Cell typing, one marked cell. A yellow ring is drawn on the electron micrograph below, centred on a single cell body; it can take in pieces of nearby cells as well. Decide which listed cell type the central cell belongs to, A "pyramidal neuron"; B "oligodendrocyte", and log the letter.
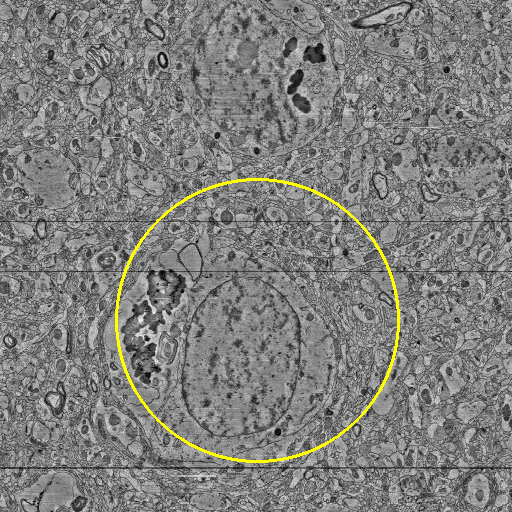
A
